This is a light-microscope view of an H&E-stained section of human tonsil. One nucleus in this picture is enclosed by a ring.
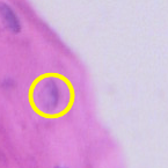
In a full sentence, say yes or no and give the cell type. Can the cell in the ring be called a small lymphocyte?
No, rather than a small lymphocyte, the cell in the ring is a squamous epithelial cell.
